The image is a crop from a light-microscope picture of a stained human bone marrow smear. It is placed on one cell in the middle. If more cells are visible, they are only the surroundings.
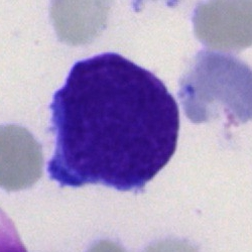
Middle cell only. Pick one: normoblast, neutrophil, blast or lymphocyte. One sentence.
Seen at the centre of the crop is a blast.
